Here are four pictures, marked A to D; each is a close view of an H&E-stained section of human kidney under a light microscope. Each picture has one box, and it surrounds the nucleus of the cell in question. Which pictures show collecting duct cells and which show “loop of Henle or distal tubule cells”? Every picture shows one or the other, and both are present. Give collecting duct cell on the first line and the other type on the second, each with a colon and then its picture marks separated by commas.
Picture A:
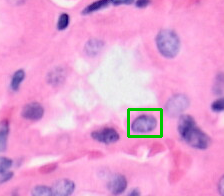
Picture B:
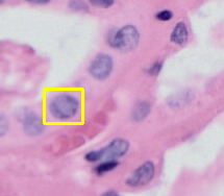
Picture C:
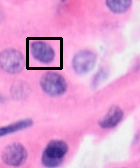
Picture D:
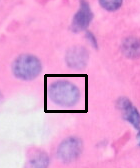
collecting duct cell: B
loop of Henle or distal tubule cell: A, C, D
